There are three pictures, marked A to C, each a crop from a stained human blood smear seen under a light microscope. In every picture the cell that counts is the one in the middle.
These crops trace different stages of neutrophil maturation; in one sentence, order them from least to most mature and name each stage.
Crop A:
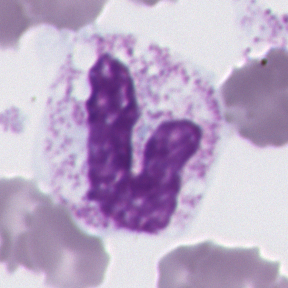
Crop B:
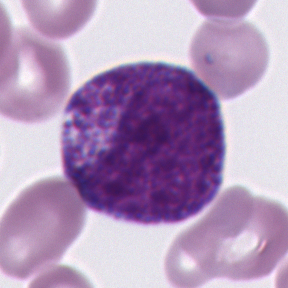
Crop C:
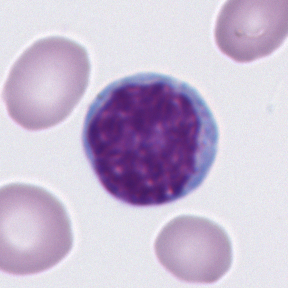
The series, from least to most mature, is crop C (a myeloblast), crop B (a myelocyte) and crop A (a segmented neutrophil).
